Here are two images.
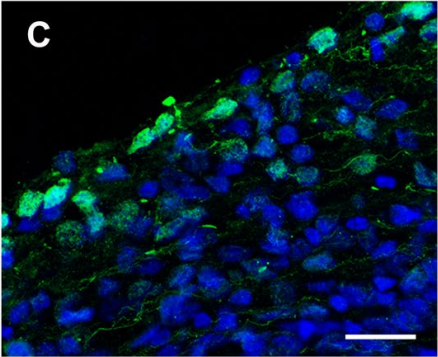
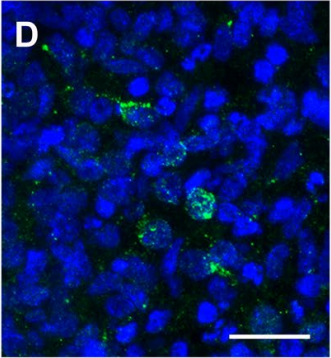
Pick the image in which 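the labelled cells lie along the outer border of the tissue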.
The first image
